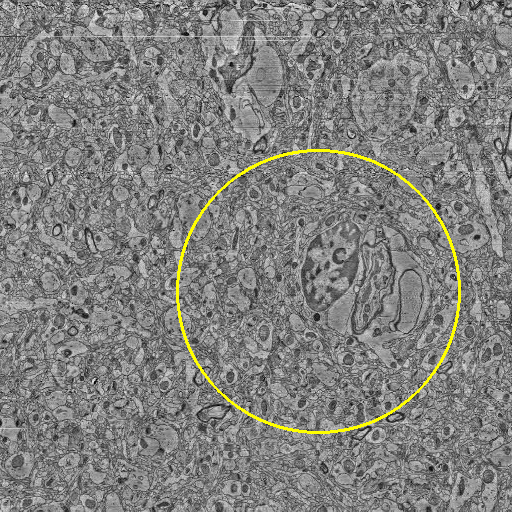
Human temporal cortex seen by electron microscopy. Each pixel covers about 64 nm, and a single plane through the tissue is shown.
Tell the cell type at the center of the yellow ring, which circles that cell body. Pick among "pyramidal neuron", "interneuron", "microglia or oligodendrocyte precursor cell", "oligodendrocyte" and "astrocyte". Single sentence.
The ring is centered on the body of a microglial cell or oligodendrocyte precursor cell.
